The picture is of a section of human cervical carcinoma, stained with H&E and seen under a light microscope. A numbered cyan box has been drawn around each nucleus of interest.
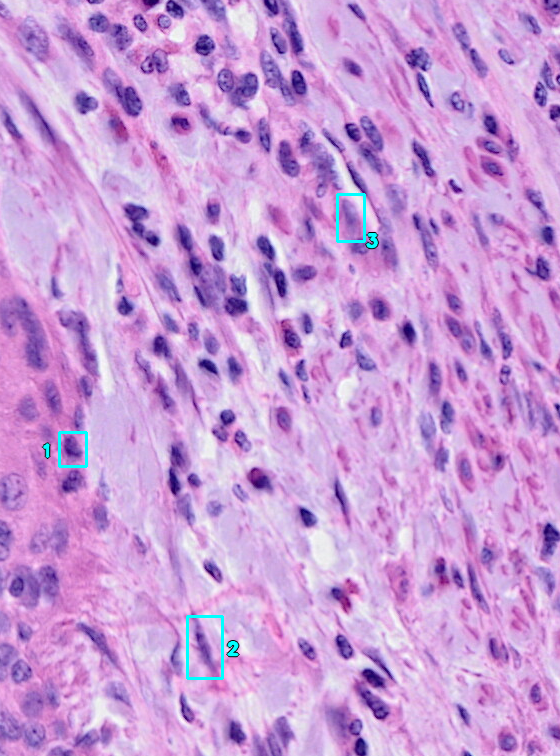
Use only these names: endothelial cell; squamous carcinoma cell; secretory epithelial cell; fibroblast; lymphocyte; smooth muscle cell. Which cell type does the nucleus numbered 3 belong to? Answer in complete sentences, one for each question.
The cell that bears the number 3 is an endothelial cell.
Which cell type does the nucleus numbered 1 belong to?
The numbered cell 1 is identified here as a squamous carcinoma cell.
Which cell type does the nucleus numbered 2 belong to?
The one labeled 2 is a fibroblast, to put it simply.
